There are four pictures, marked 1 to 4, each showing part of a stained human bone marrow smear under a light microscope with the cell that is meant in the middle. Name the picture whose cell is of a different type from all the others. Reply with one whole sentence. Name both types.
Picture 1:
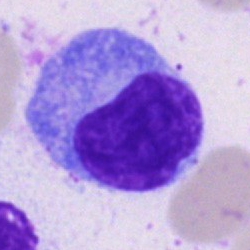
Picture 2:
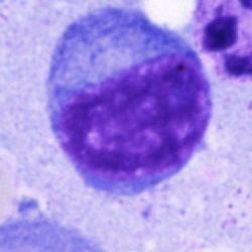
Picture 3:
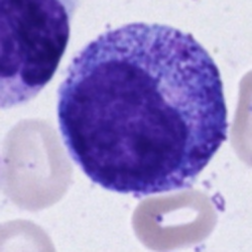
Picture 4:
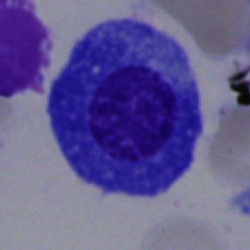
The different one is picture 3; it shows a promyelocyte, whereas all the others show plasma cells.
